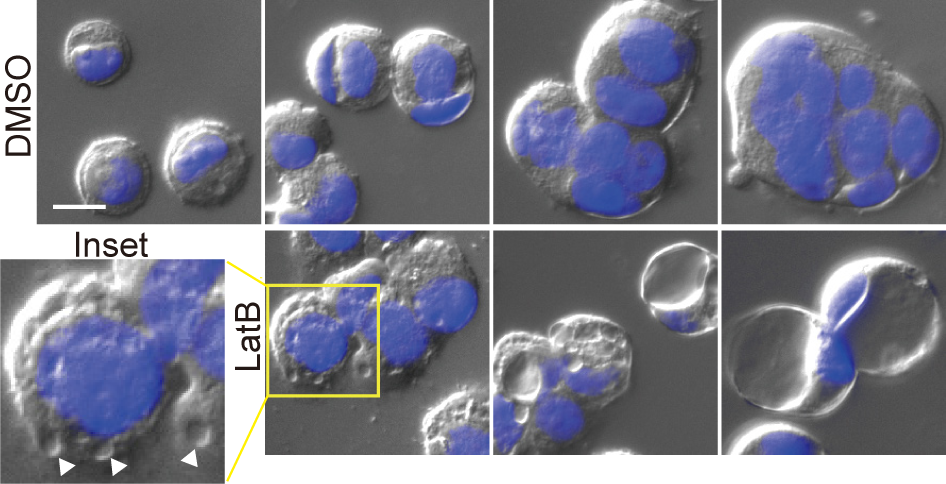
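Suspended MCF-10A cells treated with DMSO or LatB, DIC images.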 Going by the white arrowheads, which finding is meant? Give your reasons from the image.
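In the enlarged inset, small round clear spaces lie at the edge of a cell beside its blue nucleus. The white arrowheads point at these small clear spaces.
Answer: accumulation of vacuoles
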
